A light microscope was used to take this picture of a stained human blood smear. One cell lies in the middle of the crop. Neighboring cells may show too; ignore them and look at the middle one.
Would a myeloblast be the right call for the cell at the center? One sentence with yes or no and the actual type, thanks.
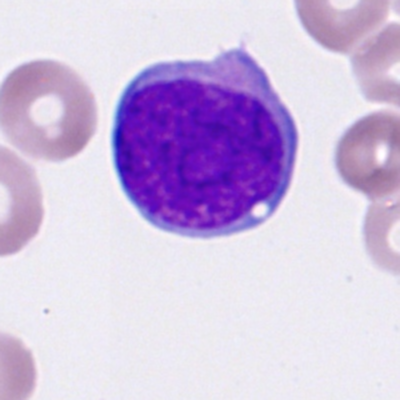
Yes, the cell of interest in the centre is a myeloblast.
